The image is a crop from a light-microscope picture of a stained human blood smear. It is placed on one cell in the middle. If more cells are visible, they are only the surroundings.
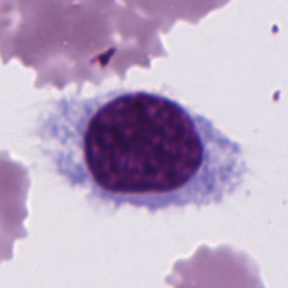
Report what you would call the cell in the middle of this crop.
hairy cell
